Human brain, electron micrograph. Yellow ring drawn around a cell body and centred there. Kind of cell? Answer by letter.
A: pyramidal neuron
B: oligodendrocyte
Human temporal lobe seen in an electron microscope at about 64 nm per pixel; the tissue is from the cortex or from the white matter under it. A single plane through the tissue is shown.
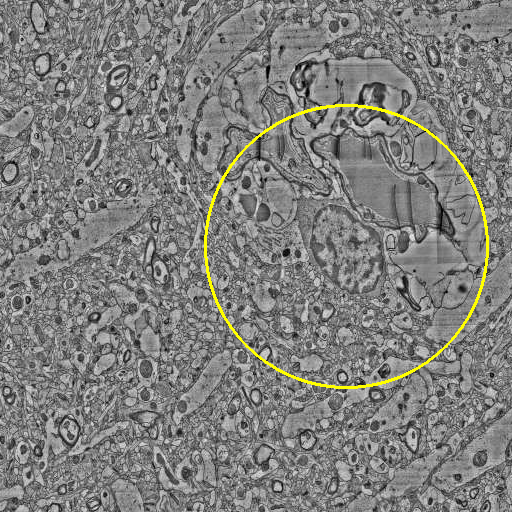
B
